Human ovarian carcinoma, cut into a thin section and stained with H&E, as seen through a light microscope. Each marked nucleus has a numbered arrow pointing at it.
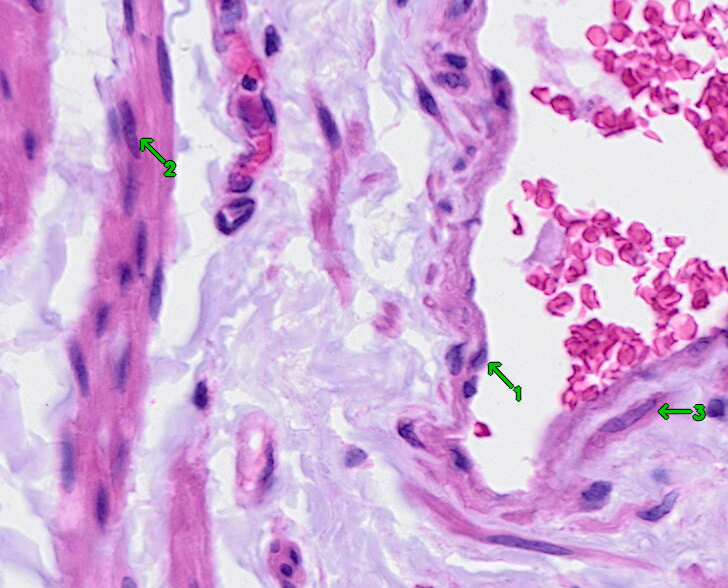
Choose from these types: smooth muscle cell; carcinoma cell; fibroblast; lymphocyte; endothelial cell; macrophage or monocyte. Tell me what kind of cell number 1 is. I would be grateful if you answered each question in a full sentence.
The one numbered 1 among the marked cells is an endothelial cell.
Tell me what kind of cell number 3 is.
The cell given label 3 is a smooth muscle cell.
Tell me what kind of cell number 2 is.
Cell 2 should be recorded as a smooth muscle cell.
